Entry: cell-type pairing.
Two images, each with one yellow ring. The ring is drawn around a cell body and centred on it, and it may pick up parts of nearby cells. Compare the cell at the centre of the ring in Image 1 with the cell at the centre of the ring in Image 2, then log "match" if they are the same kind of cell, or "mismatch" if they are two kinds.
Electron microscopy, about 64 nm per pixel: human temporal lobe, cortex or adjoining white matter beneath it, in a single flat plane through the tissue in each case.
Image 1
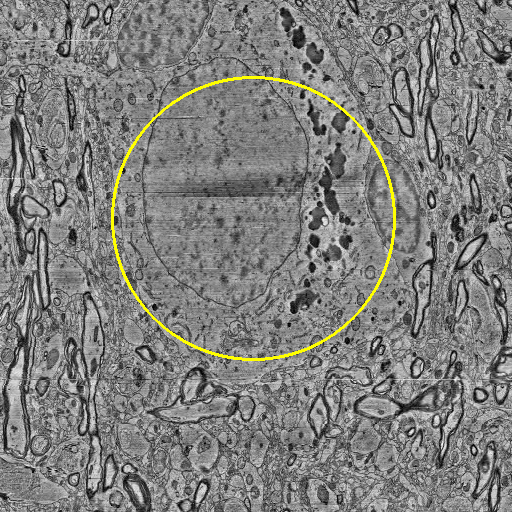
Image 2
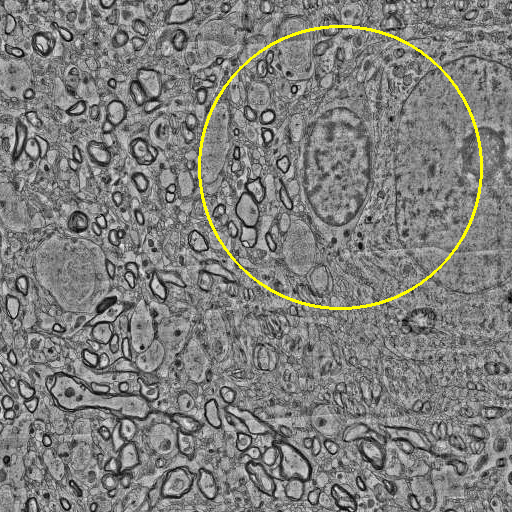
mismatch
